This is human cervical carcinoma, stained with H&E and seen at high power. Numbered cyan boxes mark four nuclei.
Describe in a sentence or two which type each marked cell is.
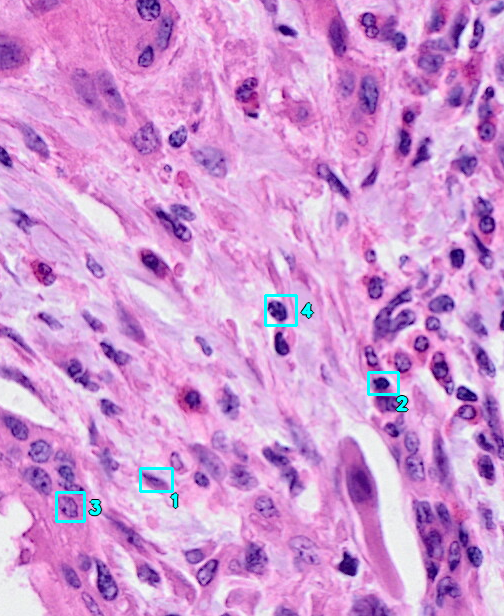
Cell 1 is a fibroblast. Cells 2 and 4 are lymphocytes. Cell 3 is a squamous carcinoma cell.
